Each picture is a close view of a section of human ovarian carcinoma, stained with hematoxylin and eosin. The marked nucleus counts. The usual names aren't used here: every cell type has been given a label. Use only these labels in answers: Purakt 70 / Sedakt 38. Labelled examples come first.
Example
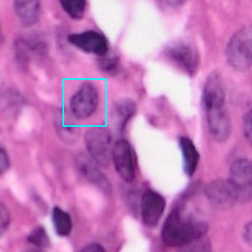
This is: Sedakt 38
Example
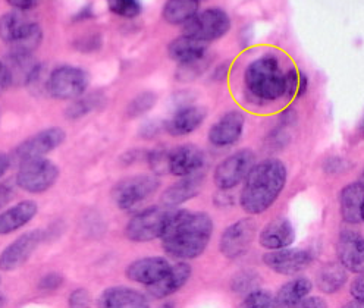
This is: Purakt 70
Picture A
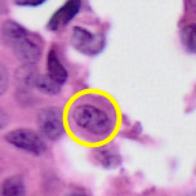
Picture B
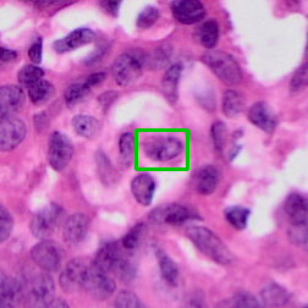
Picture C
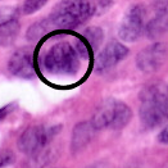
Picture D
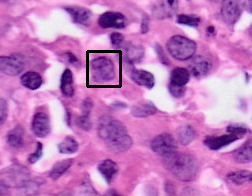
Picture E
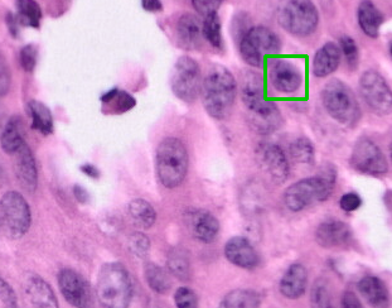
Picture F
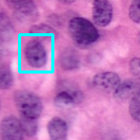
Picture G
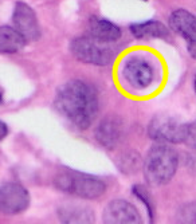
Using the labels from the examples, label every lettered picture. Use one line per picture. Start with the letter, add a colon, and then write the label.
A: Sedakt 38
B: Sedakt 38
C: Purakt 70
D: Sedakt 38
E: Sedakt 38
F: Sedakt 38
G: Sedakt 38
